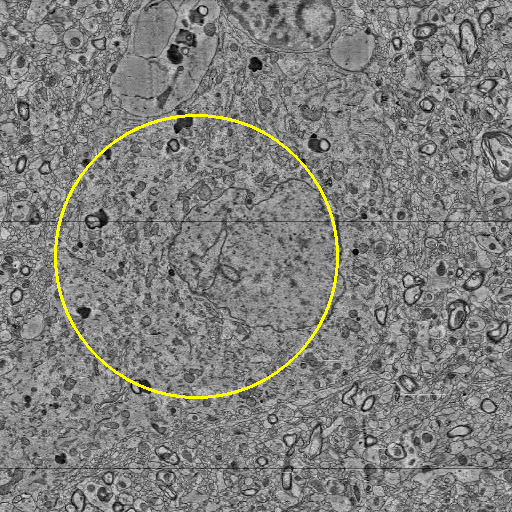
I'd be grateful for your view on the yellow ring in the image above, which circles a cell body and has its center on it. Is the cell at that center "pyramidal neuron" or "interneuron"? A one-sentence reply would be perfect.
The cell at the center of the yellow ring is a pyramidal neuron.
